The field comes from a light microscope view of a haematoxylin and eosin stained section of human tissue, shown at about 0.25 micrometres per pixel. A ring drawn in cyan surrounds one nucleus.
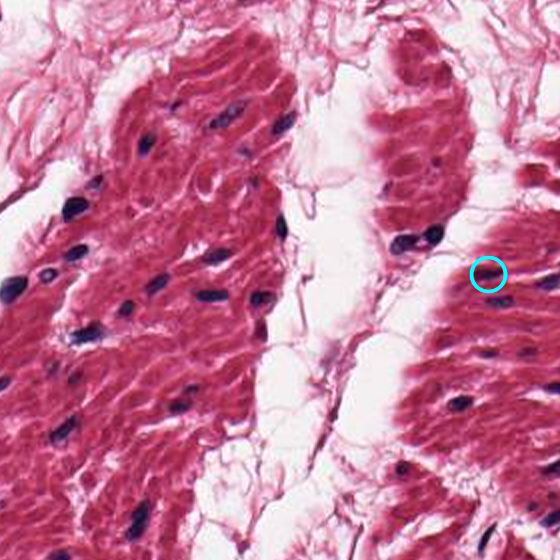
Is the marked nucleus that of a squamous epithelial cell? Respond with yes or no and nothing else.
no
